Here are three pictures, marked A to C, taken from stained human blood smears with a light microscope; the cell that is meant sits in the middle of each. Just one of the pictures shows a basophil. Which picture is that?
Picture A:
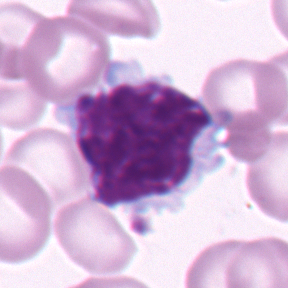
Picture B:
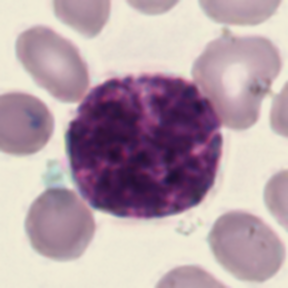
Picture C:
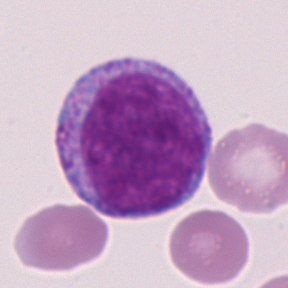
B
